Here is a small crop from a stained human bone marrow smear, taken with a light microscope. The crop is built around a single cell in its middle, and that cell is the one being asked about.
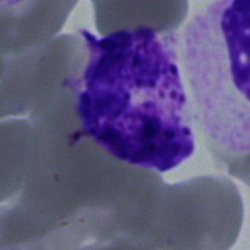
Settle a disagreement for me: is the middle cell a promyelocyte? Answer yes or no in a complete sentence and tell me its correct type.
No, what occupies the middle of the crop is a basophil and not a promyelocyte.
